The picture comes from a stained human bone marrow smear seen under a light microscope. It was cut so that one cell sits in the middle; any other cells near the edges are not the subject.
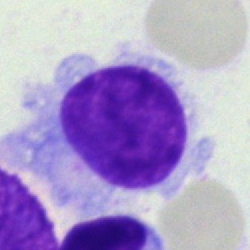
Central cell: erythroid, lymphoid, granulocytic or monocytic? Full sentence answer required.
The cell occupying the center of the frame is part of the lymphoid lineage.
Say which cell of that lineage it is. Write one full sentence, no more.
Here the centrally located cell is a hairy cell.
